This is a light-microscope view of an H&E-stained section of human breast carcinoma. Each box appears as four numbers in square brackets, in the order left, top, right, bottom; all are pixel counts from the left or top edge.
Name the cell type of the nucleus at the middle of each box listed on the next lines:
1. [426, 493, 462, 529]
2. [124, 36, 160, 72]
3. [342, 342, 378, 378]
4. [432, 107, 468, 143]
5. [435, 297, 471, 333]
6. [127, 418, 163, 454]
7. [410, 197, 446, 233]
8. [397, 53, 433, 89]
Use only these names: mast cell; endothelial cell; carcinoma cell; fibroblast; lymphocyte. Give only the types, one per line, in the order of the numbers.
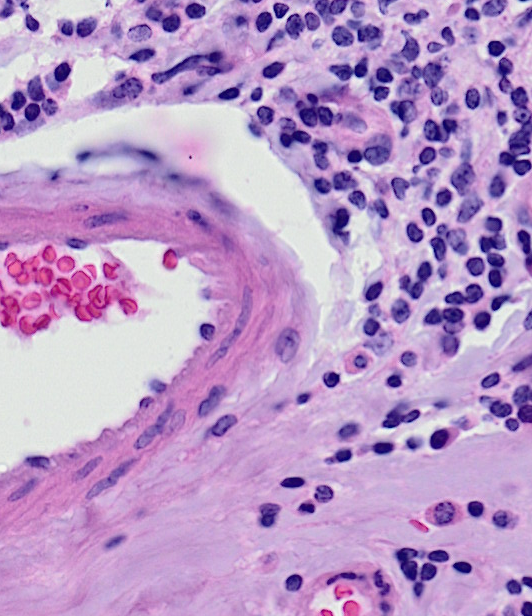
mast cell
lymphocyte
mast cell
lymphocyte
lymphocyte
endothelial cell
lymphocyte
lymphocyte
